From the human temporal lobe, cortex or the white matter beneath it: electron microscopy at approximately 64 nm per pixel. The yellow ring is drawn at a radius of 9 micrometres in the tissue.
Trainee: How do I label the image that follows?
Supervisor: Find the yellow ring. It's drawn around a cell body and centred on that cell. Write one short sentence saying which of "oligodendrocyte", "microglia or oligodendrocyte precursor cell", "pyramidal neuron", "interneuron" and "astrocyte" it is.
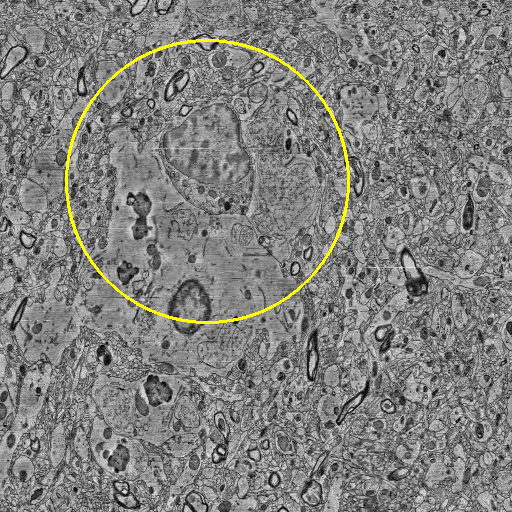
This is the cell body of an oligodendrocyte.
